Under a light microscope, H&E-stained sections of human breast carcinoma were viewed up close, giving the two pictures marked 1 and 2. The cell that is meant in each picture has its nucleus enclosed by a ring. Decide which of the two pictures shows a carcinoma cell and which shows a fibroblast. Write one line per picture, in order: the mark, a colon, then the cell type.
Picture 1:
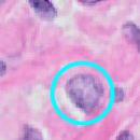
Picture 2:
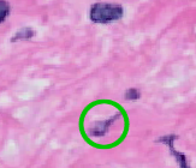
1: carcinoma cell
2: fibroblast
